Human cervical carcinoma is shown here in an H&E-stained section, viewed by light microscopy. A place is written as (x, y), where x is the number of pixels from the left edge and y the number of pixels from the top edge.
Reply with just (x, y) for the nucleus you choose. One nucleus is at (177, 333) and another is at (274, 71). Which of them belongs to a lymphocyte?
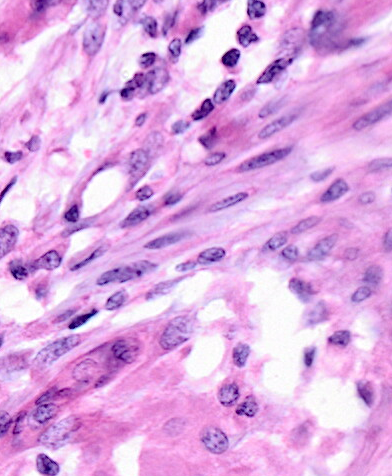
(274, 71)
